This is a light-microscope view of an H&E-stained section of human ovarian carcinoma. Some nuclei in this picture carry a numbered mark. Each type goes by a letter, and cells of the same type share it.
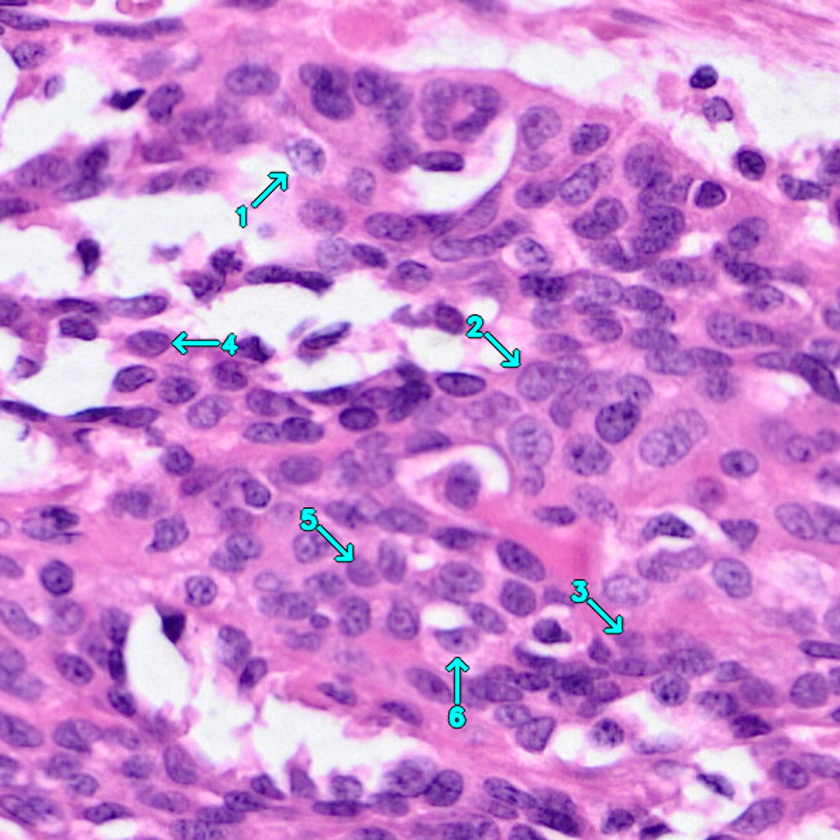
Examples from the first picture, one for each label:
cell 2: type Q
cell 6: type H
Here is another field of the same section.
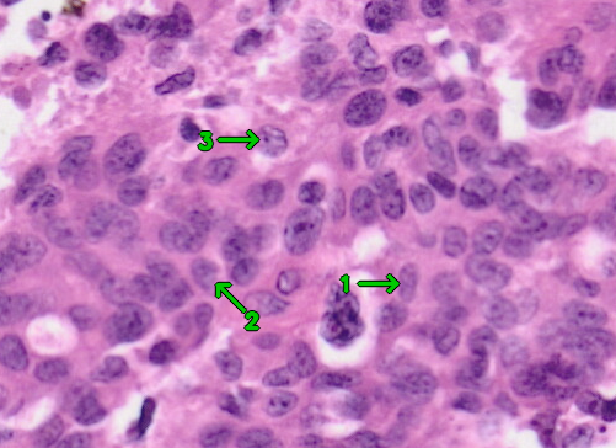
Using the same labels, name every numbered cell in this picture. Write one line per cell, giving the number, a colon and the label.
1: type Q
2: type Q
3: type H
